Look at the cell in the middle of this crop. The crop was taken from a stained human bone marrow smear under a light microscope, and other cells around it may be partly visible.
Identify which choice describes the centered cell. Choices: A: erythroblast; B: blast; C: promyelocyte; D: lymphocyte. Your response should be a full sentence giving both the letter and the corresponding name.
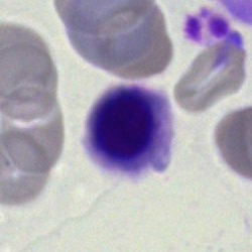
The cell in the middle is an erythroblast, and so option A is correct.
